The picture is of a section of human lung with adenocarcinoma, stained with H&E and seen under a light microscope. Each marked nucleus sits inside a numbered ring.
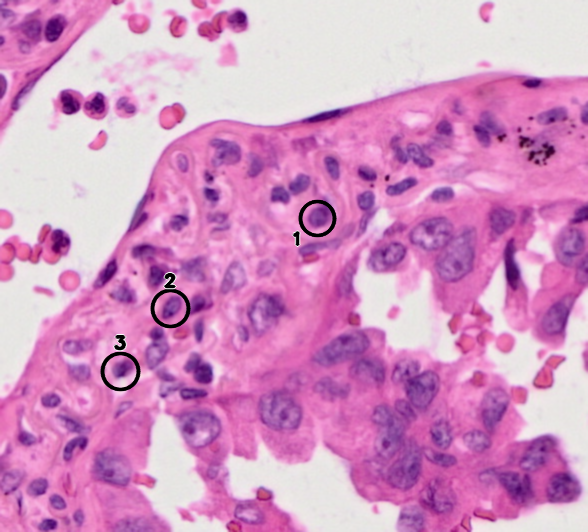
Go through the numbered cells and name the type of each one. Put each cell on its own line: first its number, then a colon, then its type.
1: plasma cell
2: mast cell
3: lymphocyte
